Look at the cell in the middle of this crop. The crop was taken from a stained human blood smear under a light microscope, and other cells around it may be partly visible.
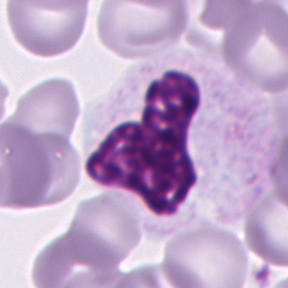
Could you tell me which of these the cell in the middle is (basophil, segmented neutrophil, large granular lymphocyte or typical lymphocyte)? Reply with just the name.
segmented neutrophil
